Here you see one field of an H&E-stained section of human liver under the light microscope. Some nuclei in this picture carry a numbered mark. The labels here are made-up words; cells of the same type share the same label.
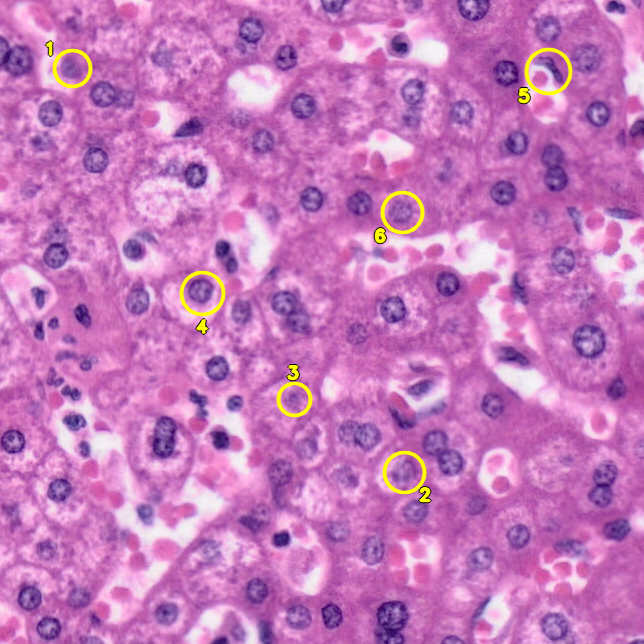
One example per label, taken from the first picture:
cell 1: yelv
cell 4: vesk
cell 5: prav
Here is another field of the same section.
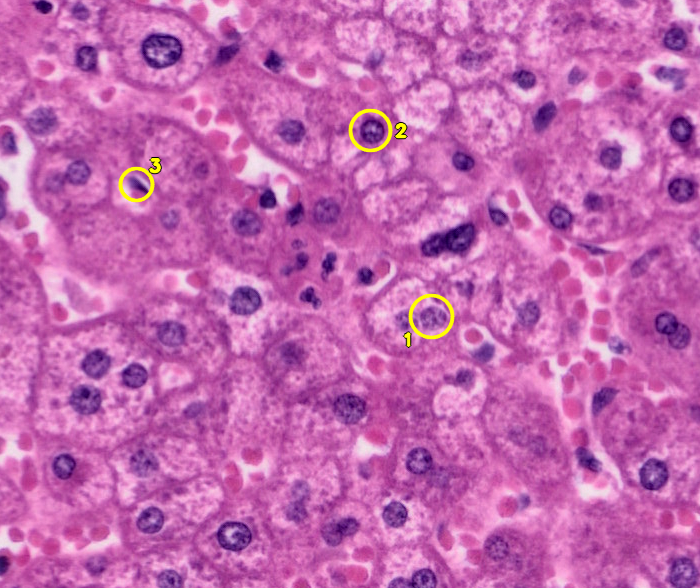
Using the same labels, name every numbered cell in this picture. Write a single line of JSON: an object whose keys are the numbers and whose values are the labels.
{"1": "vesk", "2": "vesk", "3": "prav"}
